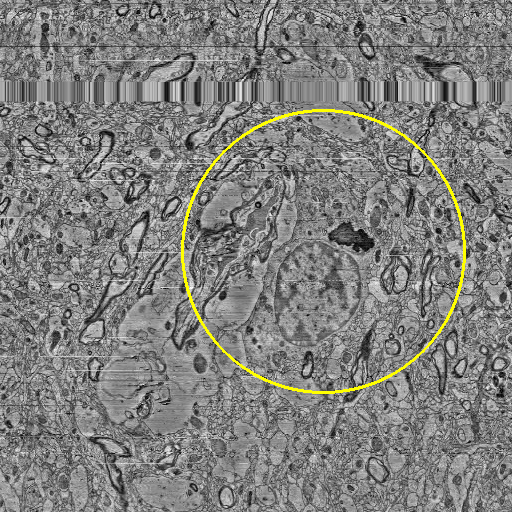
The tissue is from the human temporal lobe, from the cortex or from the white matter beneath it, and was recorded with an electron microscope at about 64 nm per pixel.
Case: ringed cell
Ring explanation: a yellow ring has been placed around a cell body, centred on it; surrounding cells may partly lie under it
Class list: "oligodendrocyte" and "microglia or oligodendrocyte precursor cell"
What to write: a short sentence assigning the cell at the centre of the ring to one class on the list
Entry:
The cell at the ring's centre is an oligodendrocyte.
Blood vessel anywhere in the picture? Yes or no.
Yes, a blood vessel can be seen.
